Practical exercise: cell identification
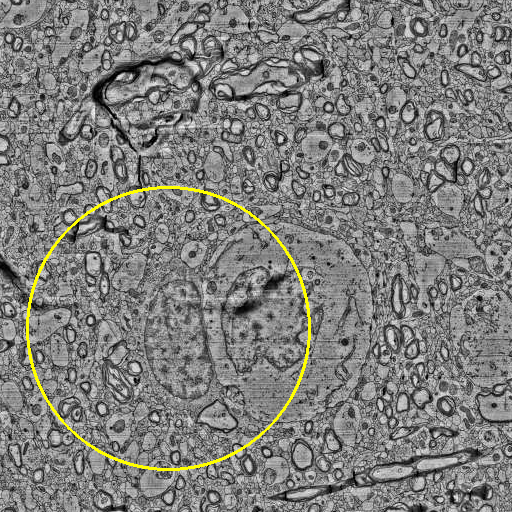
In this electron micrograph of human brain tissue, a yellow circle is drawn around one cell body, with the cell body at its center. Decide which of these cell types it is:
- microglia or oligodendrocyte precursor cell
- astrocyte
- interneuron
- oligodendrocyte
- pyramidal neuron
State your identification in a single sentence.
The ringed cell is an oligodendrocyte.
